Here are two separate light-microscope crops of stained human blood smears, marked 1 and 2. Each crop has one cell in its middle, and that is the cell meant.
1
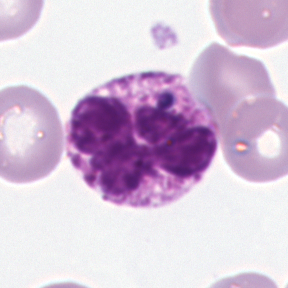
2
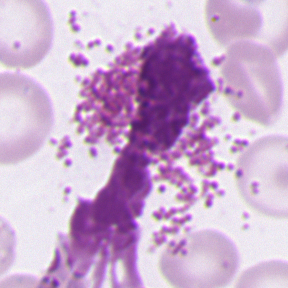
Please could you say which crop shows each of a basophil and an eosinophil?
1: basophil
2: eosinophil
